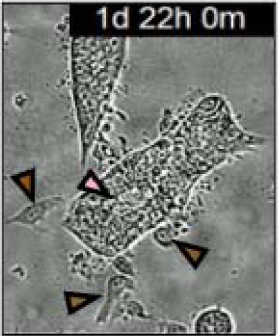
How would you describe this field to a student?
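A phase contrast view of flat colonies of tightly packed small cells with grainy texture, bordered by a bright phase-dense rim. At the colony edges several cells stretch out with thin protrusions and pull away from the sheet, as cells migrating outward do. Round, bright, refractile bodies sit in the space between colonies, likely detached cells.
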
